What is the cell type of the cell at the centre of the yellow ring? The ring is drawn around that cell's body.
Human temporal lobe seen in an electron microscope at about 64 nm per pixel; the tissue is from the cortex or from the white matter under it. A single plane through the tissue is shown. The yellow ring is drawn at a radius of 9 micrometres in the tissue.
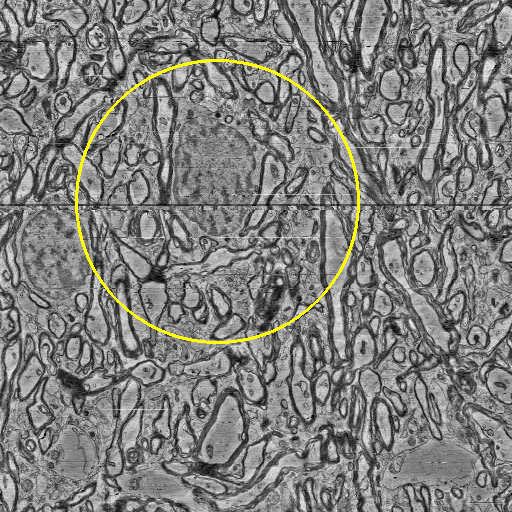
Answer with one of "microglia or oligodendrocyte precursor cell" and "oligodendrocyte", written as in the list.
oligodendrocyte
